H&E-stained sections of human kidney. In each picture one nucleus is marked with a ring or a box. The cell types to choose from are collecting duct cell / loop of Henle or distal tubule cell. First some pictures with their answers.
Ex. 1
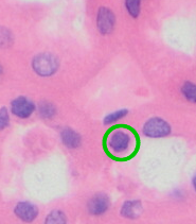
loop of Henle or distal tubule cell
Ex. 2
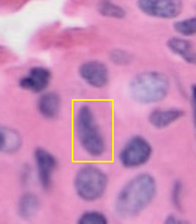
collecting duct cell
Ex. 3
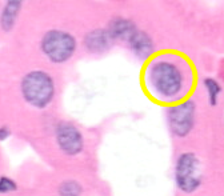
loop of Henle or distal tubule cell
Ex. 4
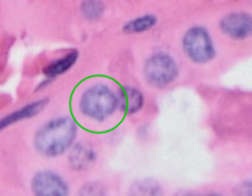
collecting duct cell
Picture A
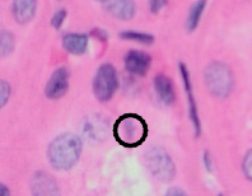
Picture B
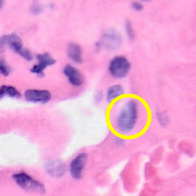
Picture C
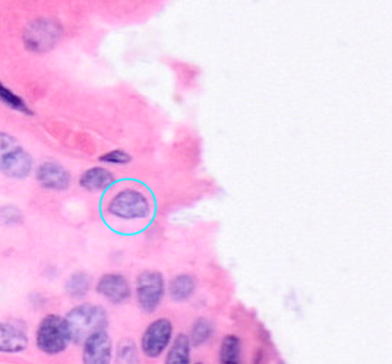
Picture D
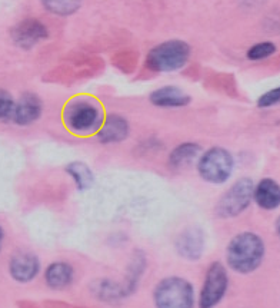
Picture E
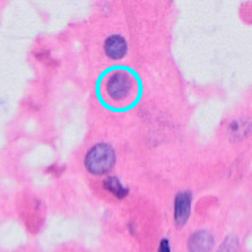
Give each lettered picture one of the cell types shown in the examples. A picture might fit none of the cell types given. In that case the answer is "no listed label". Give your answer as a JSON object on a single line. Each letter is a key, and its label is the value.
{"A": "collecting duct cell", "B": "collecting duct cell", "C": "collecting duct cell", "D": "collecting duct cell", "E": "no listed label"}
